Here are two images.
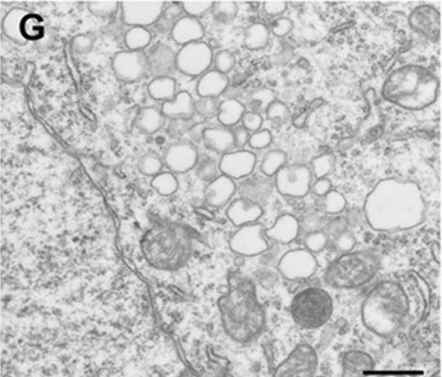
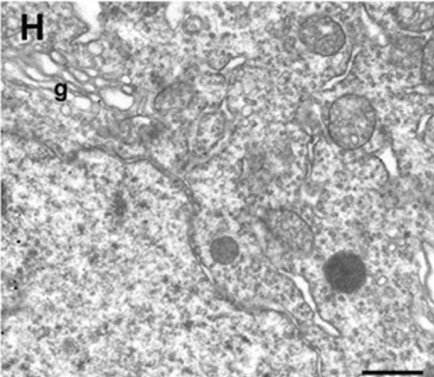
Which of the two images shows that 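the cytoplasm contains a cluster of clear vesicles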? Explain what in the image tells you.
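Second image: cytoplasm with mitochondria and a stack of Golgi cisternae, no cluster of clear vesicles. First image: a large cluster of round electron-lucent vesicles occupies the cytoplasm.
Answer: the first image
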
